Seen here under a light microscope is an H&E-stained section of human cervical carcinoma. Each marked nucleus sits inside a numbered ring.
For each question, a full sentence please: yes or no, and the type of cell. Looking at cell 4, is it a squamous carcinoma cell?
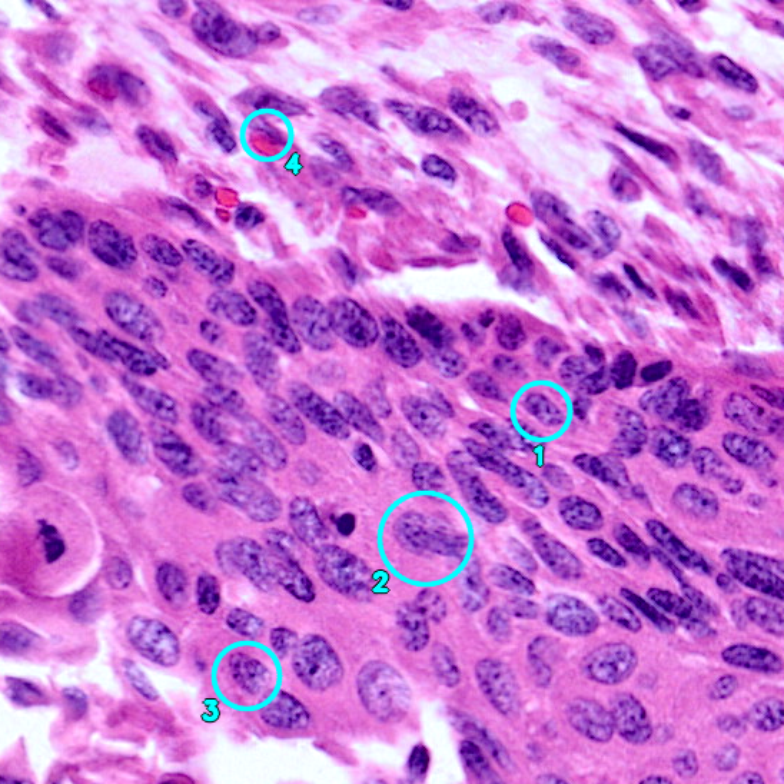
No, the cell given the number 4 is an endothelial cell, so not a squamous carcinoma cell.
